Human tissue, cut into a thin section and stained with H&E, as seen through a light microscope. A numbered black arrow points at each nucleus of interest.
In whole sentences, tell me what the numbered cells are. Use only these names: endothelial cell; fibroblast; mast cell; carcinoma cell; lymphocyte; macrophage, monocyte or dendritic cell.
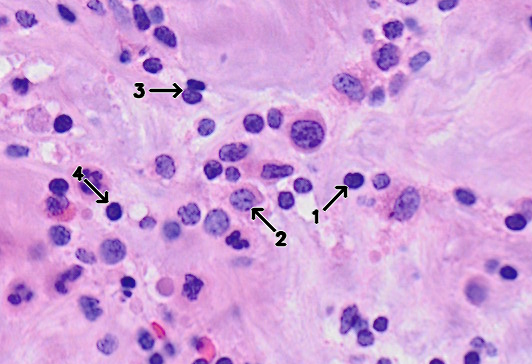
Cells 1, 3 and 4 are lymphocytes. Cell 2 is a mast cell.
